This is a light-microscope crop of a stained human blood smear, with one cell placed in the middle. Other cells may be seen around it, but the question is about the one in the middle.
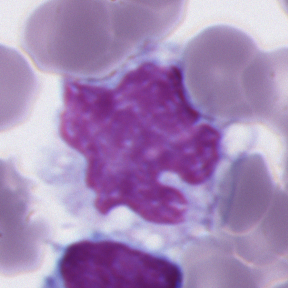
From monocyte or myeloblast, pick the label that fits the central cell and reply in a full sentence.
Occupying the centre of the crop is a monocyte.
